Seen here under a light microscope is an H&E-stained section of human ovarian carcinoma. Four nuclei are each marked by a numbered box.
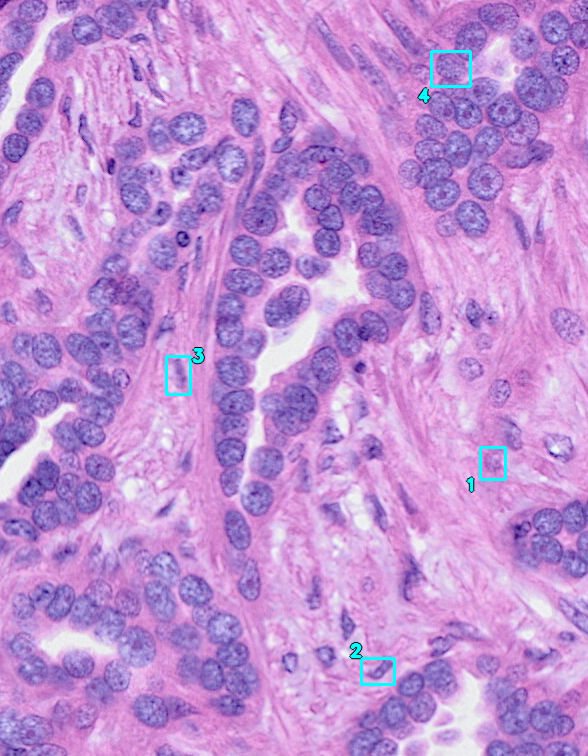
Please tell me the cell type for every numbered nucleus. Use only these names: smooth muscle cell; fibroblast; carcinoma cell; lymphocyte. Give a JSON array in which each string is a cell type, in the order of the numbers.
["fibroblast", "fibroblast", "fibroblast", "carcinoma cell"]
